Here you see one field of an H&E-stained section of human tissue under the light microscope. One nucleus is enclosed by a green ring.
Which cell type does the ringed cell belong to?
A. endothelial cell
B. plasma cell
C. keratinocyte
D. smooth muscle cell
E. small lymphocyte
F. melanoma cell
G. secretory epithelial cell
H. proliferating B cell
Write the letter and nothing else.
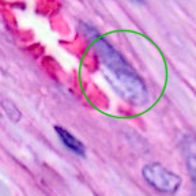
A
